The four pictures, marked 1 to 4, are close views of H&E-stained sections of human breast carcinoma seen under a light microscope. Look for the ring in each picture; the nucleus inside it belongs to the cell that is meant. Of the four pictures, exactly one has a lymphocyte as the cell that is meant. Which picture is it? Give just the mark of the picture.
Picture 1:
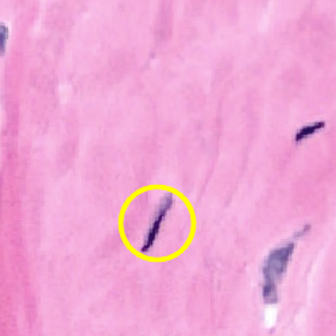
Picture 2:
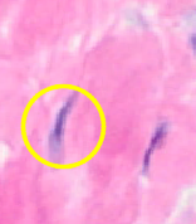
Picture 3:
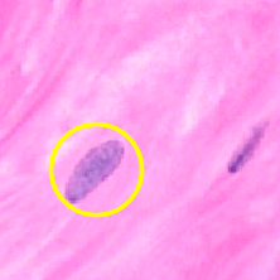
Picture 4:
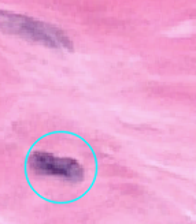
4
